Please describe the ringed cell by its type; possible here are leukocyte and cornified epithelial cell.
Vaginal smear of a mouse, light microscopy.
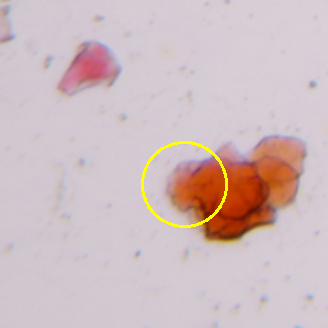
The yellow ring marks a cornified epithelial cell.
